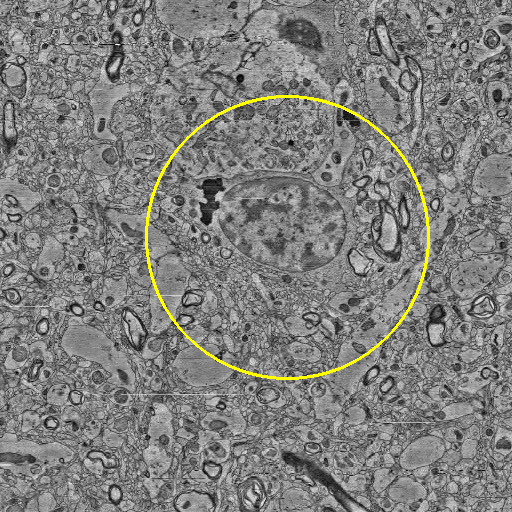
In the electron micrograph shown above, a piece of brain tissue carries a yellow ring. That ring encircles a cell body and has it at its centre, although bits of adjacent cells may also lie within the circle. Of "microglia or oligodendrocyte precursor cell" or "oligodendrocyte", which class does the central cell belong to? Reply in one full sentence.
The cell body at the centre of the yellow ring belongs to an oligodendrocyte.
